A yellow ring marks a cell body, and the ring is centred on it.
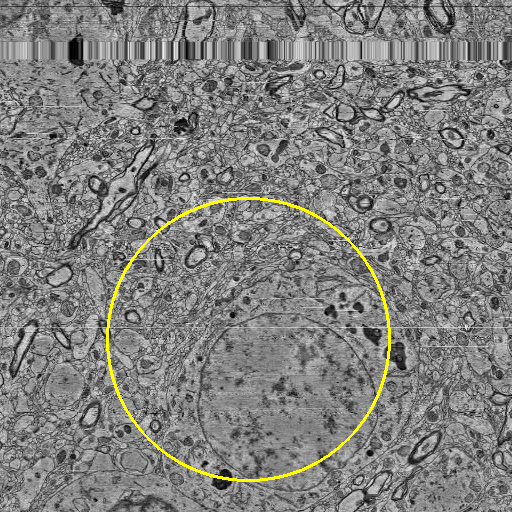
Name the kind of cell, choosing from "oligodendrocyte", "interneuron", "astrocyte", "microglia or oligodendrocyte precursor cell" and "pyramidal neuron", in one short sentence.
The marked cell body belongs to a pyramidal neuron.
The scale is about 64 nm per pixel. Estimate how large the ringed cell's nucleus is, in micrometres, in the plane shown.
Approximately 12 micrometres across, in this plane.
